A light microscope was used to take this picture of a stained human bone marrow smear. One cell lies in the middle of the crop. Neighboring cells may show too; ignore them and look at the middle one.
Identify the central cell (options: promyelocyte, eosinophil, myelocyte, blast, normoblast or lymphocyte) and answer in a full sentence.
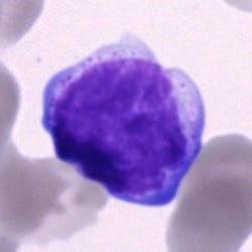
For this crop, the central cell is a blast.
